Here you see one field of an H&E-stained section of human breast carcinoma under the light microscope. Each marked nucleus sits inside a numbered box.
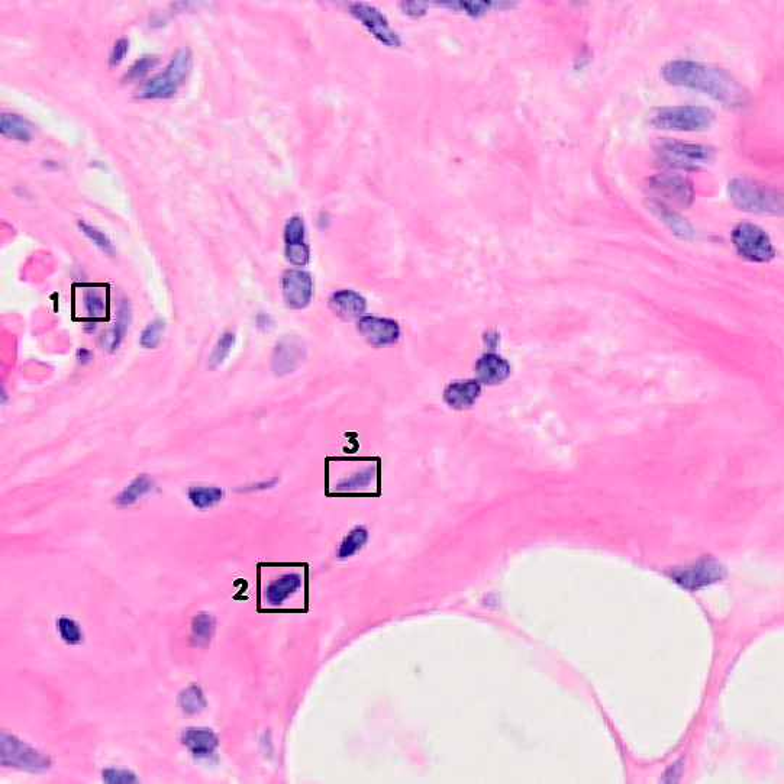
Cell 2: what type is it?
lymphocyte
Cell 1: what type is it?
endothelial cell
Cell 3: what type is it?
fibroblast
